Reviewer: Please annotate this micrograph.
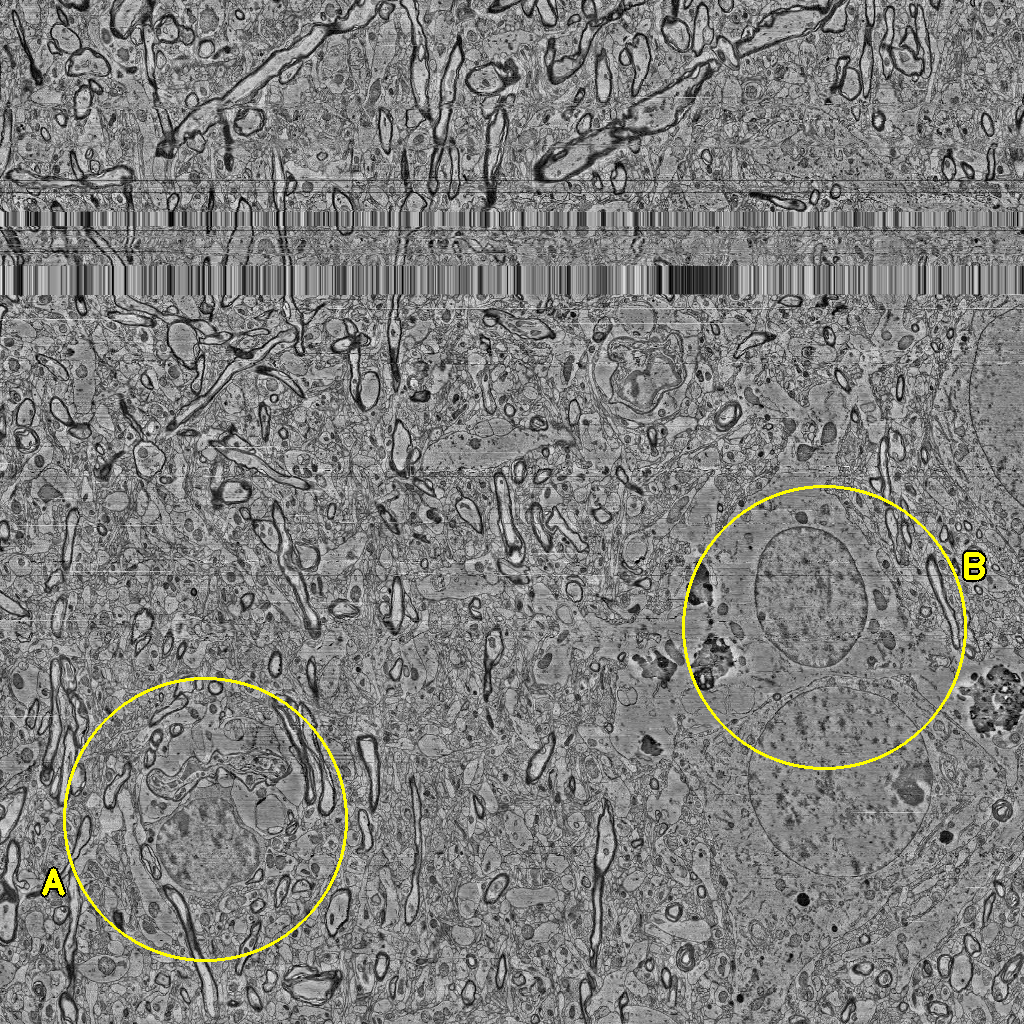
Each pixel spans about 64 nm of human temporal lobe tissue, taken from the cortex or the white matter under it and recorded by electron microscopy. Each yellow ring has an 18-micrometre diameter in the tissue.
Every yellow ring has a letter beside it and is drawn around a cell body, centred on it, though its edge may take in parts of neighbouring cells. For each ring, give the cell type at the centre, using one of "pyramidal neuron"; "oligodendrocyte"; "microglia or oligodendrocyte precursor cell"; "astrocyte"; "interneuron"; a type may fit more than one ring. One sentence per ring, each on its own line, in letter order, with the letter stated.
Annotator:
The cell in the middle of ring A is an oligodendrocyte.
The cell in the middle of ring B is an astrocyte.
